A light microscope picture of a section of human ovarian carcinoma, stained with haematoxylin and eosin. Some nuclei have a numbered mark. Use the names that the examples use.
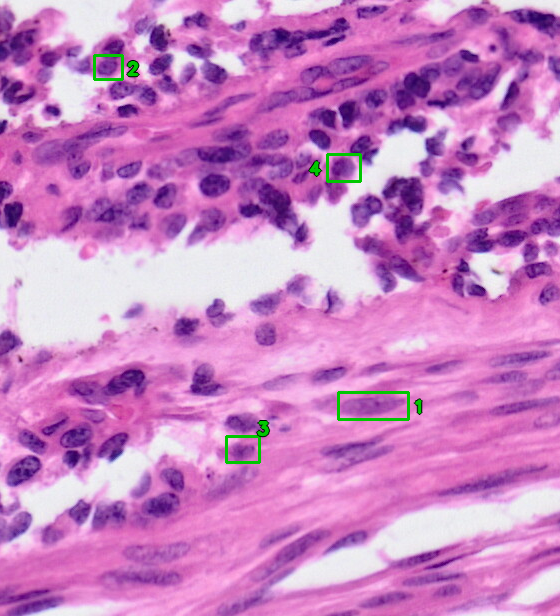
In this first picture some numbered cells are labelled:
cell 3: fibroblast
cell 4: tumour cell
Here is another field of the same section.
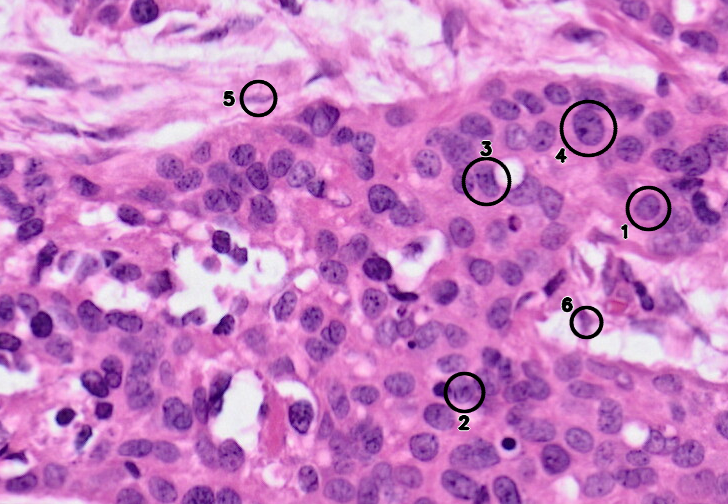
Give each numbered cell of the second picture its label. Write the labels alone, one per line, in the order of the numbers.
tumour cell
tumour cell
tumour cell
tumour cell
fibroblast
fibroblast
